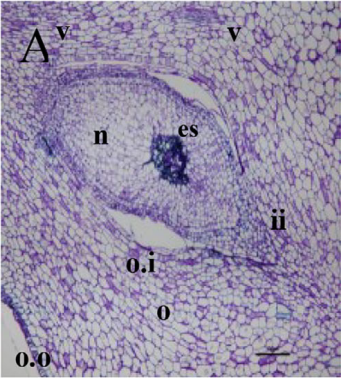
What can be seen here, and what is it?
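This is a cross-section through the ovary with an ovule lying in its middle, stained purple-blue. The centre of the ovule is a mass of small, tightly packed, roughly isodiametric cells of the nucellus, with a dark blue-stained embryo sac at its core. Thin layers of flattened cells wrap the nucellus, and a clear crescent-shaped gap separates the ovule from the surrounding tissue. Outside lies ovary parenchyma of larger, thin-walled, vacuolated cells with purple walls.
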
